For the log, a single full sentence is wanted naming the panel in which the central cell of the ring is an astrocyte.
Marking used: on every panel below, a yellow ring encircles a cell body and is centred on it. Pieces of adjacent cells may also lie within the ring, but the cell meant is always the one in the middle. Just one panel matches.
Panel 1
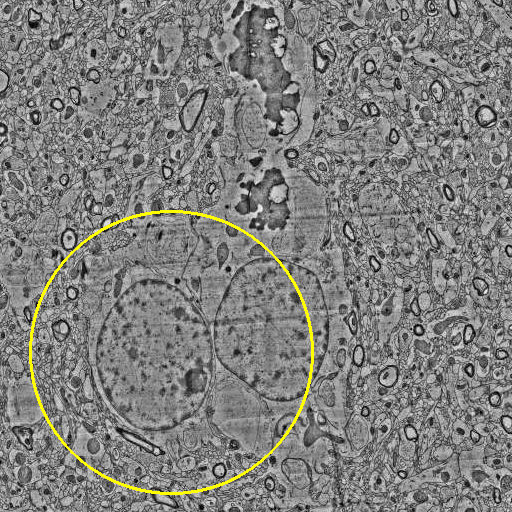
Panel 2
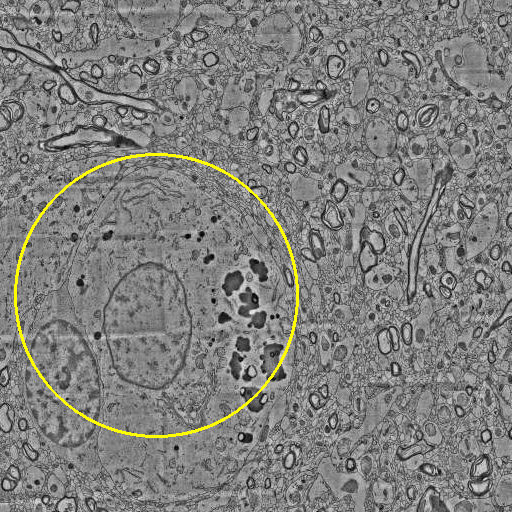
The cell in the middle of the ring in panel 1 is the one asked for.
